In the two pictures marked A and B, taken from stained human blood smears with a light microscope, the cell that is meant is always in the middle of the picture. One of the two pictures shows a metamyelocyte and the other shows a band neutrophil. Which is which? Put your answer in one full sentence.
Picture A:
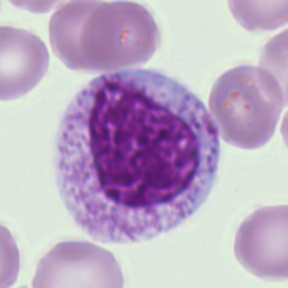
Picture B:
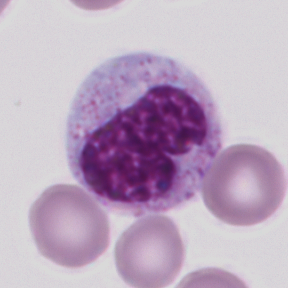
In picture A the cell is a metamyelocyte; in picture B, a band neutrophil.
